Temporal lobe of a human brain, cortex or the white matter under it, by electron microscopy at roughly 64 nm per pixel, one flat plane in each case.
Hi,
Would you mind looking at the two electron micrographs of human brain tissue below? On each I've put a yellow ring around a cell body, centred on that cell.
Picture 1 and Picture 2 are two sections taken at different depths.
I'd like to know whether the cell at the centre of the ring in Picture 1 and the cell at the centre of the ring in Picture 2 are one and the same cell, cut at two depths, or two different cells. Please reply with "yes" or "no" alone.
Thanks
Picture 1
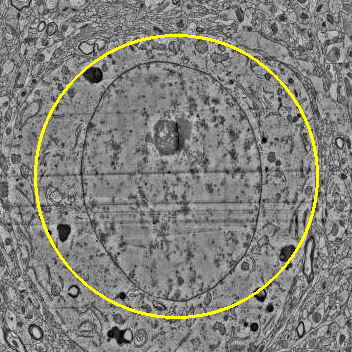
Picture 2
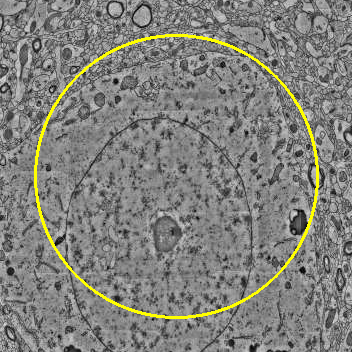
no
